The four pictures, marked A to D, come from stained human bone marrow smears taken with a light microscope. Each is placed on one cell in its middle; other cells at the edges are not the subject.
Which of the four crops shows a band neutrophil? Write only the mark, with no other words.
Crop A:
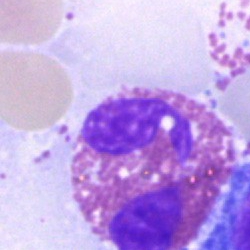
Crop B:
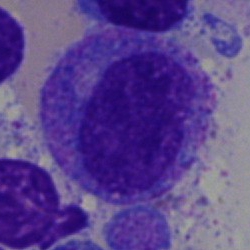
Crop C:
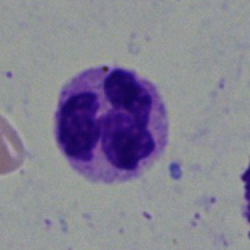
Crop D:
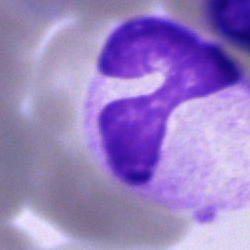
D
